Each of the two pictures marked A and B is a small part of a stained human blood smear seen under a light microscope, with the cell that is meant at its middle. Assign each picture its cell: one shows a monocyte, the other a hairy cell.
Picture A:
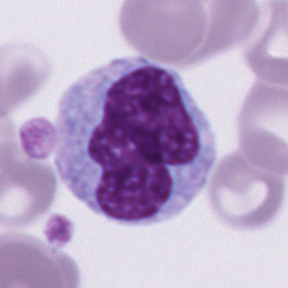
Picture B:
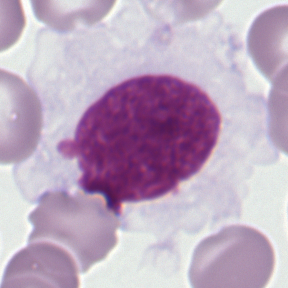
A: monocyte
B: hairy cell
